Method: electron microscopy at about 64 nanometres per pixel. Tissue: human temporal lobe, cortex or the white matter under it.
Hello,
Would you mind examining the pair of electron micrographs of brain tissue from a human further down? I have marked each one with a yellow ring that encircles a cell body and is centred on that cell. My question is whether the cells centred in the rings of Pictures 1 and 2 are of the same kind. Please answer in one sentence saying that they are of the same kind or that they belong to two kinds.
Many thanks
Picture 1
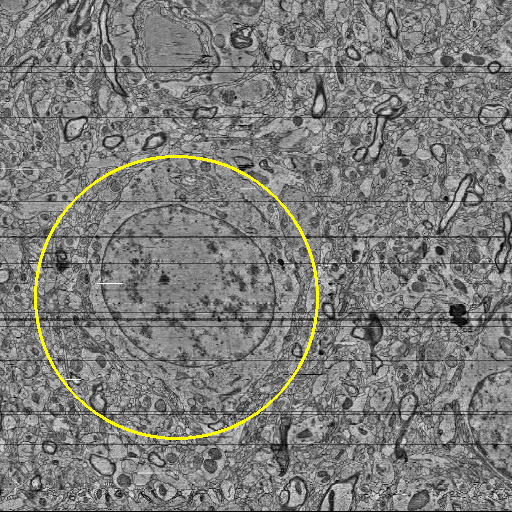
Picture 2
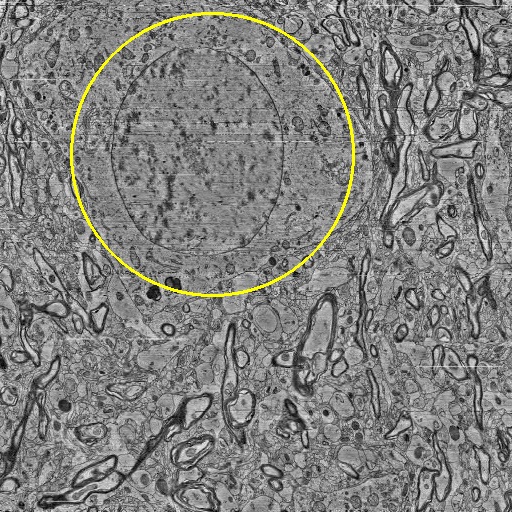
In Pictures 1 and 2, the cells at the heart of the rings are of the same kind.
